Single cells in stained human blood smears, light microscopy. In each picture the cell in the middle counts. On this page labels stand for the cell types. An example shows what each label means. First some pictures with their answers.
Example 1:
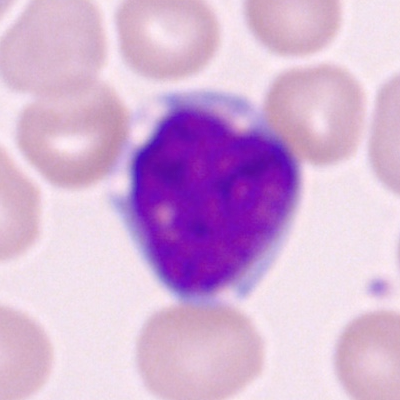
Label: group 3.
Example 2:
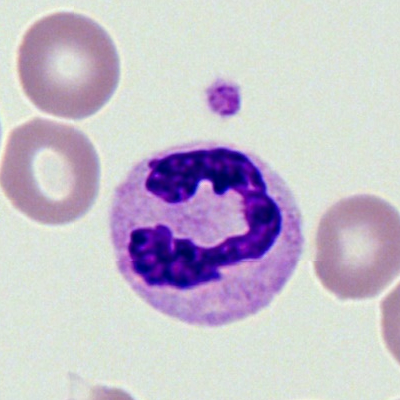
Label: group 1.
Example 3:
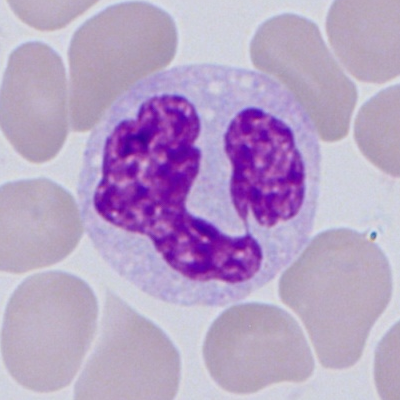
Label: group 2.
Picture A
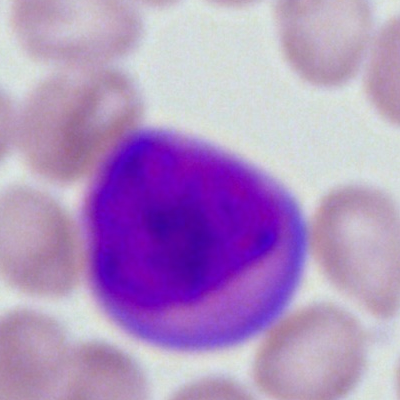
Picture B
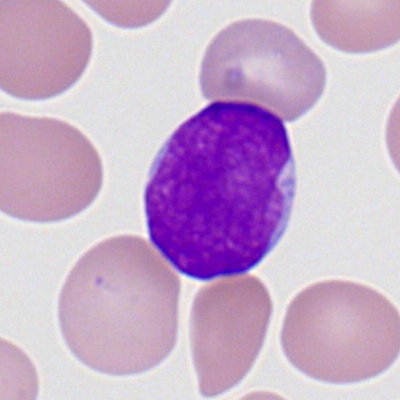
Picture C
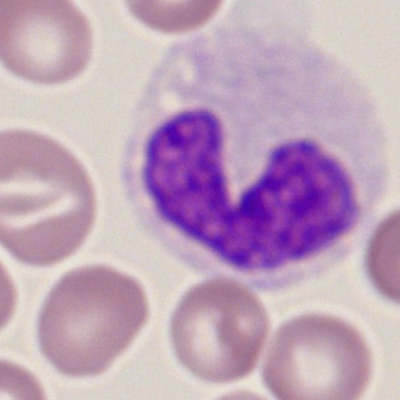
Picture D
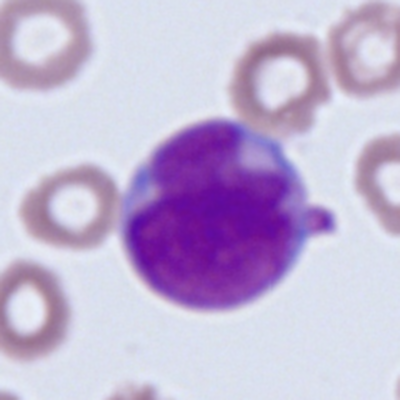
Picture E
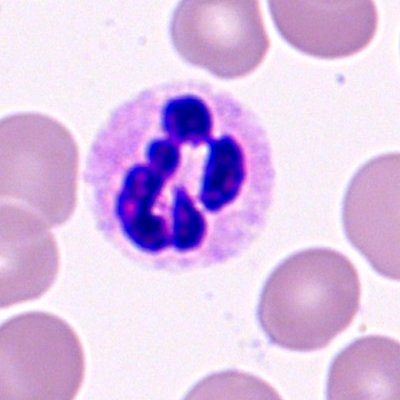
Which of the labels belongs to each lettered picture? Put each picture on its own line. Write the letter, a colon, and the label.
A: group 3.
B: group 3.
C: group 2.
D: group 3.
E: group 1.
